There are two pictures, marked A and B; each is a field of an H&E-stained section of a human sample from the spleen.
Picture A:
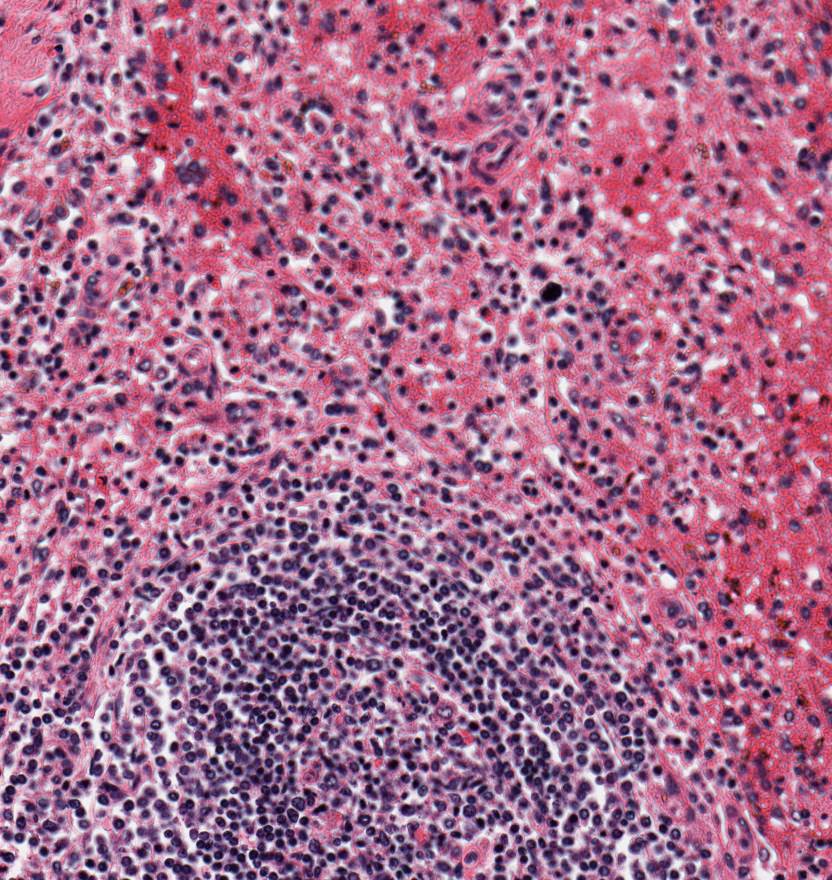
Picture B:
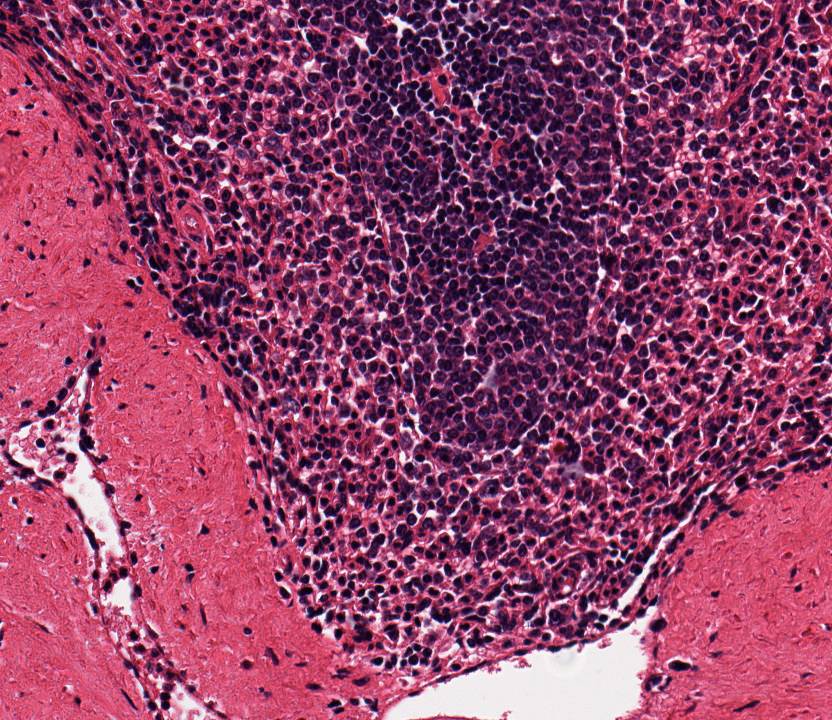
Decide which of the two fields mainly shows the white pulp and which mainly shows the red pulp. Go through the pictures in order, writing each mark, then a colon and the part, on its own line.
A: red pulp
B: white pulp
